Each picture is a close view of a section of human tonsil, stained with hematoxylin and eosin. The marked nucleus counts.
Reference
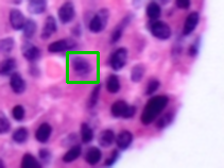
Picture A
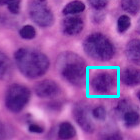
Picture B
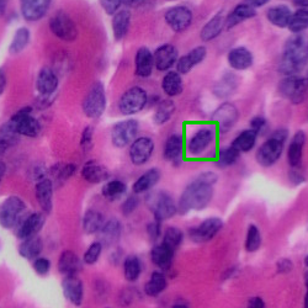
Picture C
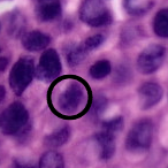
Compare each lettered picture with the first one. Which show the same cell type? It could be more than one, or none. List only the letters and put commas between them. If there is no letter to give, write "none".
B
